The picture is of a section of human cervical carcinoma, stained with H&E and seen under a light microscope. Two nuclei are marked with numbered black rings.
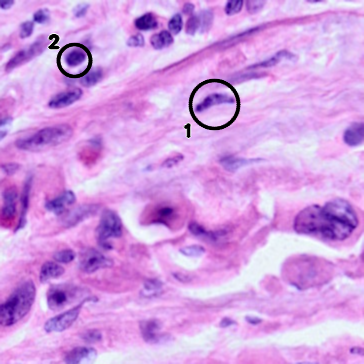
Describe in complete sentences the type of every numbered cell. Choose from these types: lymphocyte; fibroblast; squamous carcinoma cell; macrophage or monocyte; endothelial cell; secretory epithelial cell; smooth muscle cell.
Cell 1 is a fibroblast. Cell 2 is a lymphocyte.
